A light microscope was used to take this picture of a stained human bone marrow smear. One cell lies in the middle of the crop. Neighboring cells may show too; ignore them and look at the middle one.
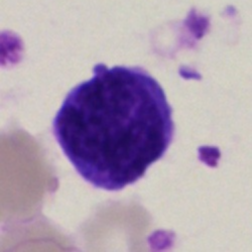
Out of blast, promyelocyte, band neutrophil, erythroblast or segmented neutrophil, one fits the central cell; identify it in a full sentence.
In this smear crop, the middle cell is a blast.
